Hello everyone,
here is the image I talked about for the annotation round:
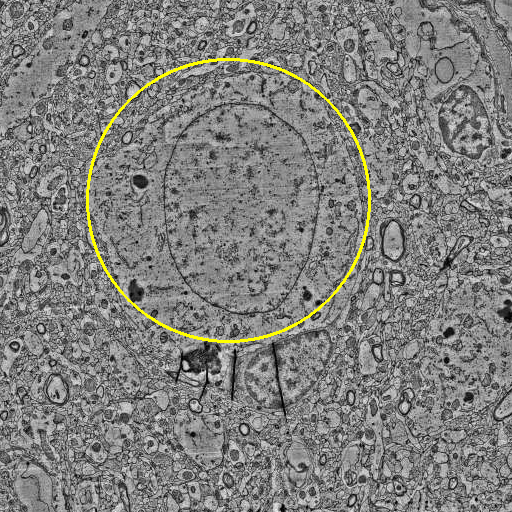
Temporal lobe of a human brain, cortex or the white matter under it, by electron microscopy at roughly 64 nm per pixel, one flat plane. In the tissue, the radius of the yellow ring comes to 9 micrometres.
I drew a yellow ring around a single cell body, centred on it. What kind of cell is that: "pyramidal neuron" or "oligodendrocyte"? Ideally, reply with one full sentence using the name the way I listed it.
The cell your yellow ring is centred on is a pyramidal neuron, going by your list.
